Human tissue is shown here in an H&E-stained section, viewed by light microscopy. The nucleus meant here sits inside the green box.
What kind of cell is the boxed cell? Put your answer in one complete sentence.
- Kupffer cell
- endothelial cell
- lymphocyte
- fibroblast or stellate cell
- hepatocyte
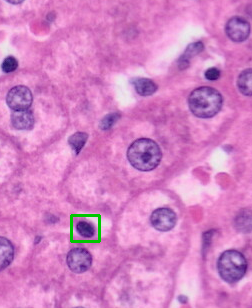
In this section of tissue, the boxed cell is a lymphocyte.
